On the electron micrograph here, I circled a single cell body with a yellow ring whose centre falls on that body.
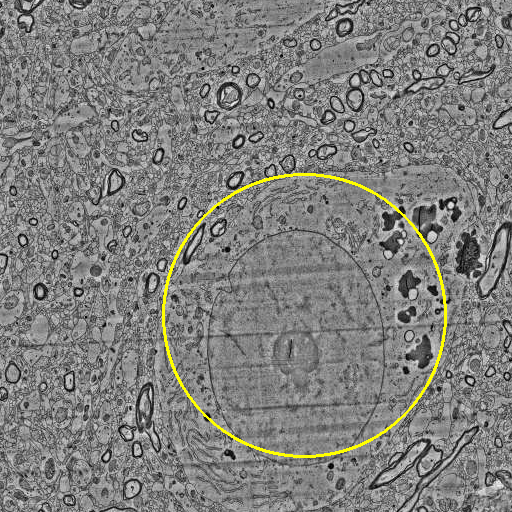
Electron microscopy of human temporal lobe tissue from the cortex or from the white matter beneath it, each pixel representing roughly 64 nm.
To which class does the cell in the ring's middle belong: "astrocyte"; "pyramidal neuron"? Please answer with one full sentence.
In this picture, the cell body circled at the ring's centre belongs to a pyramidal neuron.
